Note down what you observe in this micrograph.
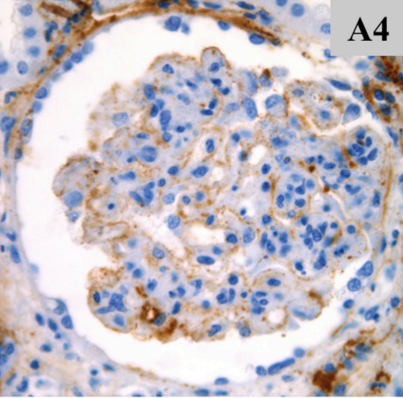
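Here again is a glomerulus at higher power. The rounded capillary tuft in the centre is crowded with blue nuclei, and the walls of its loops carry only a light, patchy brown tint, much fainter than a strong stain would be. The space between the tuft and the capsule is clear. Beyond the capsule, tubules with blue-nucleated epithelium surround the glomerulus.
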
